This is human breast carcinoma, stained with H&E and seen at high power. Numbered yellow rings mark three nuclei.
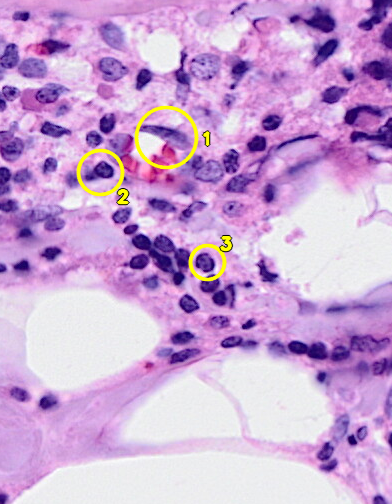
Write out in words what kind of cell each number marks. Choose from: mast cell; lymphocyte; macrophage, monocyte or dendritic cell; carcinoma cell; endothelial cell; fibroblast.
Cell 1 is an endothelial cell. Cells 2 and 3 are lymphocytes.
